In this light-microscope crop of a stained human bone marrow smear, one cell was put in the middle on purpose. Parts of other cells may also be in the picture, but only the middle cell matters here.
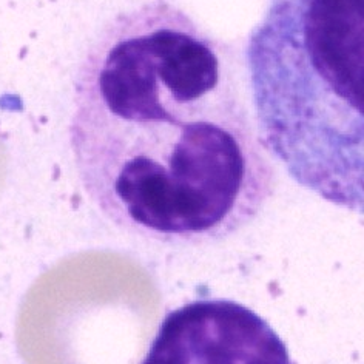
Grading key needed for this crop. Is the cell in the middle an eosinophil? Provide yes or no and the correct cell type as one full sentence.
No, what is centred in the crop is not an eosinophil but a segmented neutrophil.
